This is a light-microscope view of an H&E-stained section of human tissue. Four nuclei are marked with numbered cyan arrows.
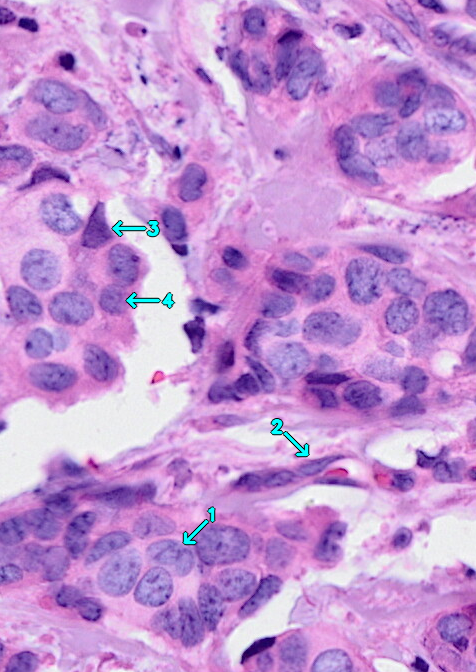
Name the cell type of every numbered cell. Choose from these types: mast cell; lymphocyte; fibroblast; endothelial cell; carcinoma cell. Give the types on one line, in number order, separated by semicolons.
carcinoma cell; endothelial cell; carcinoma cell; carcinoma cell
